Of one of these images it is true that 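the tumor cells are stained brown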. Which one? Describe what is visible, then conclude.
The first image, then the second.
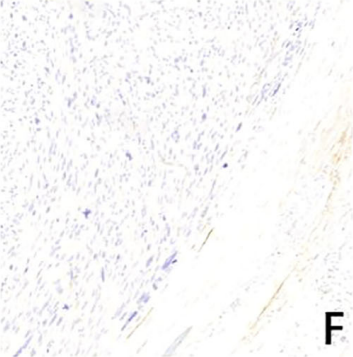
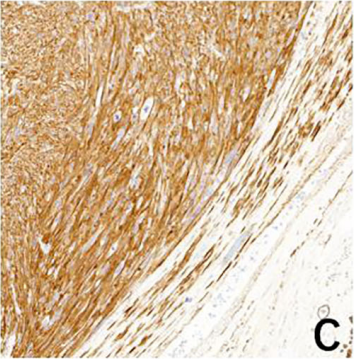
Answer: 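First image: tumor cells are pale blue with no brown stain. Second image: the tumor cells are densely stained brown throughout the cellular area.
Answer: the second image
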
